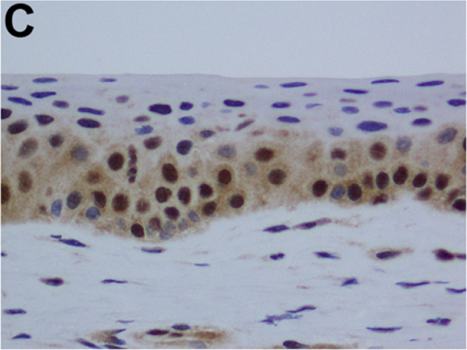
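Corneal epithelium lying on a pale stroma. The surface layers are made of flattened cells with thin, blue nuclei. The deeper layers consist of rounder, closely packed cells with oval nuclei stained brown and light brown cytoplasm. The underlying stroma is pale and sparsely cellular, with scattered elongated blue nuclei.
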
